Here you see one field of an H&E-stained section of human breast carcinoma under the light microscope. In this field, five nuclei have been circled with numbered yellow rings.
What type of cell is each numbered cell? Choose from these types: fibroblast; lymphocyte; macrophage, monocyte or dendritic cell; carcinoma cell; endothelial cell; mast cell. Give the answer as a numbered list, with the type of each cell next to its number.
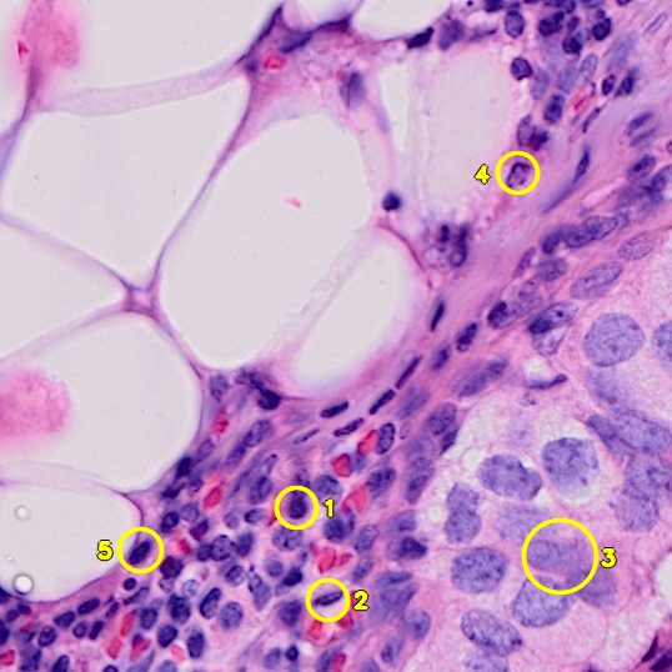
1. lymphocyte
2. endothelial cell
3. carcinoma cell
4. mast cell
5. lymphocyte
